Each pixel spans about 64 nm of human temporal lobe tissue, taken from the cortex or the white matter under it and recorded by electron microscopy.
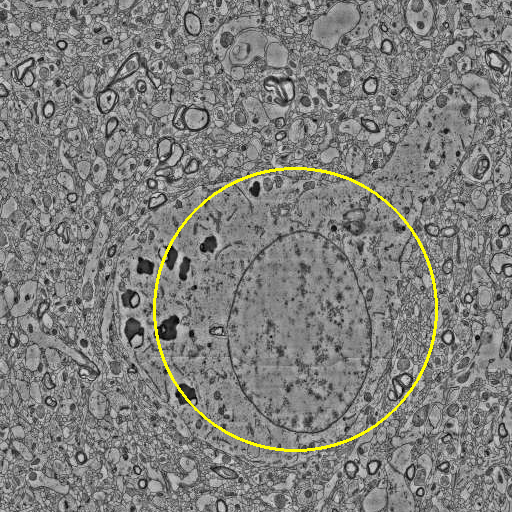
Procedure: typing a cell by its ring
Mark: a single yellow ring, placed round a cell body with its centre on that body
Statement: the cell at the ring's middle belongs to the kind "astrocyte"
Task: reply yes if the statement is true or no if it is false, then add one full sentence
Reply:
No, this is false: the cell at the ring's centre in the picture belongs to some other kind.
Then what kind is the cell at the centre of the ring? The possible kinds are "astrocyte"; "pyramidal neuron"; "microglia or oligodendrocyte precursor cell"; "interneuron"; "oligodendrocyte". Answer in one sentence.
The ring holds a pyramidal neuron at its centre.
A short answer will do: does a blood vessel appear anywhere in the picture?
No, there is no blood vessel.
